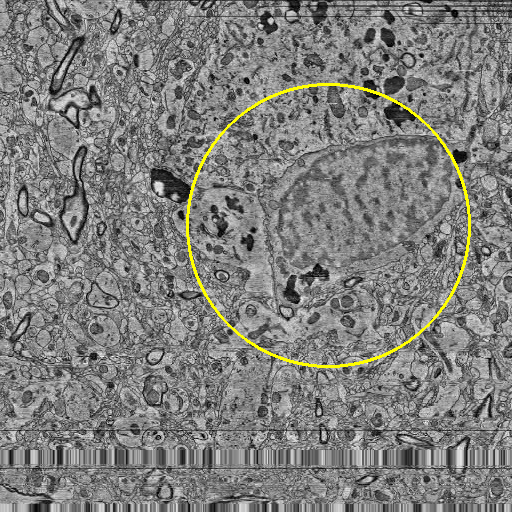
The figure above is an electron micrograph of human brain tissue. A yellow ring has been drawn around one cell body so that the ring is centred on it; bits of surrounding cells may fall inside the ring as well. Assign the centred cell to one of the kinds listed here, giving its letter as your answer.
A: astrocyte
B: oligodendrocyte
B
